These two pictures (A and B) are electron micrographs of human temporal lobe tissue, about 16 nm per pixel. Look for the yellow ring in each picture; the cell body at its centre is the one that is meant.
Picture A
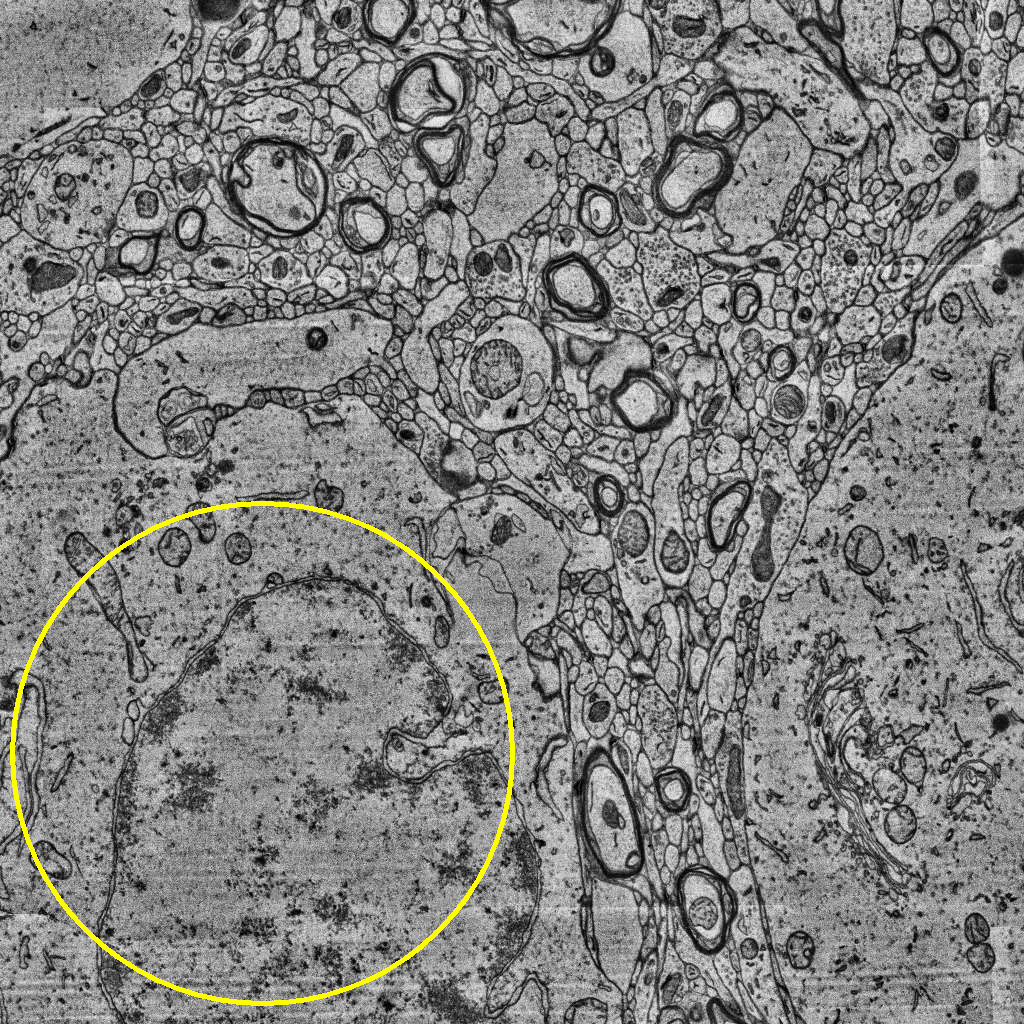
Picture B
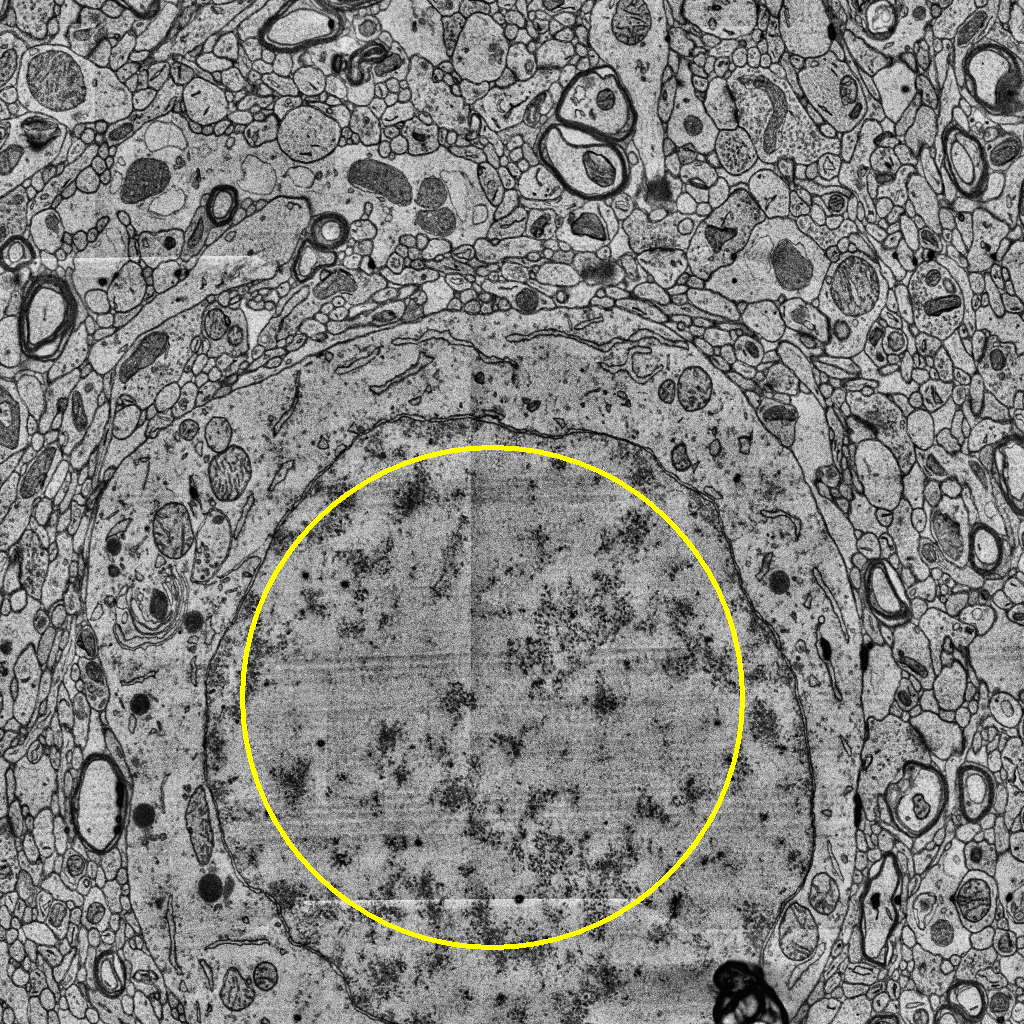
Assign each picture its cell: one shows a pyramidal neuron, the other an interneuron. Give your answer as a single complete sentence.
The cell in picture A is an interneuron, and the one in picture B is a pyramidal neuron.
